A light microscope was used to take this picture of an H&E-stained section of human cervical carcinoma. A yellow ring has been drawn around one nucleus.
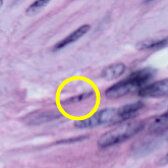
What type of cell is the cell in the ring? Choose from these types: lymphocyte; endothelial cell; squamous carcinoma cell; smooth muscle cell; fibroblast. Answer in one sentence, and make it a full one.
Speaking plainly, the cell in the ring is nothing other than an endothelial cell.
